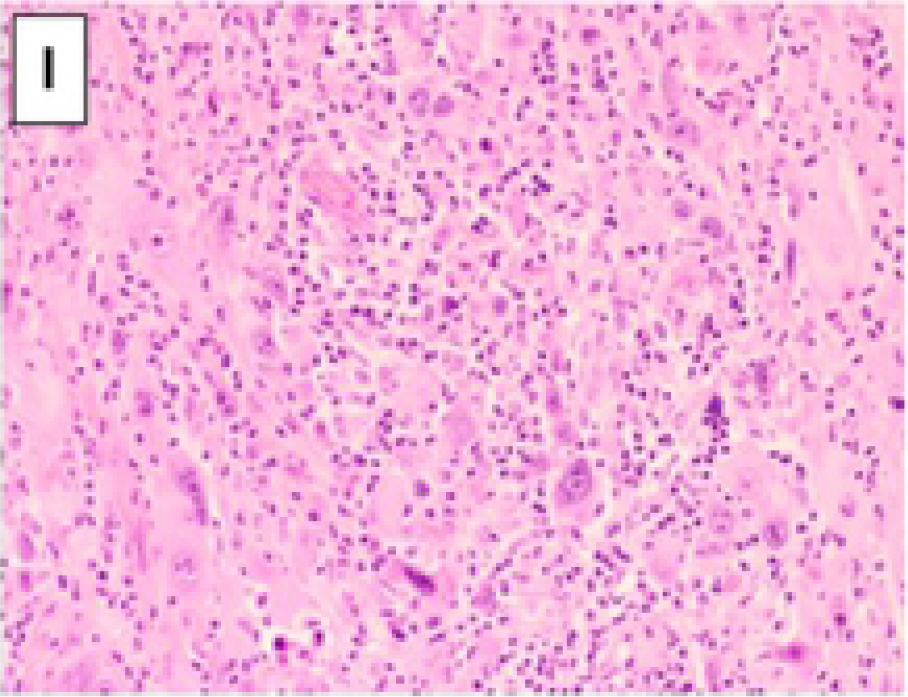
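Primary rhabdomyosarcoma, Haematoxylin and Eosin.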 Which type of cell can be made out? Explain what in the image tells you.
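Many small round cells with dense dark-purple nuclei and scant cytoplasm lie scattered among the tumour cells. The small dark cells are much smaller than the surrounding large pink tumour cells.
Answer: tumour-infiltrating lymphocytes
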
